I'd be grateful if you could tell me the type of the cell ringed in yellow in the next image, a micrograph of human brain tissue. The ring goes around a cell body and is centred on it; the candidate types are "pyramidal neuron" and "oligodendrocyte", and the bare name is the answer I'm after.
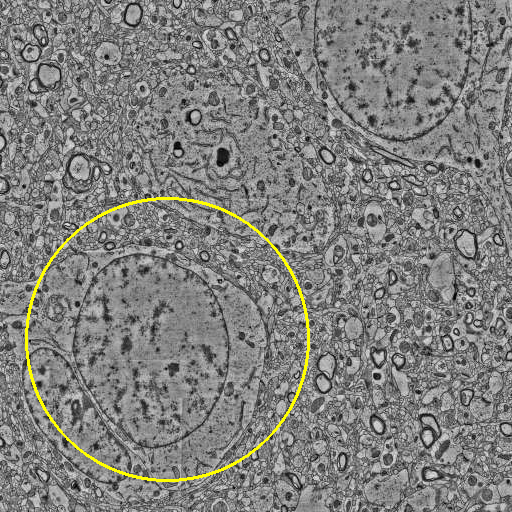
pyramidal neuron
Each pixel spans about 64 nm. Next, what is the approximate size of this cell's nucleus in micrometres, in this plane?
In this plane, roughly 15 by 12 micrometres.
